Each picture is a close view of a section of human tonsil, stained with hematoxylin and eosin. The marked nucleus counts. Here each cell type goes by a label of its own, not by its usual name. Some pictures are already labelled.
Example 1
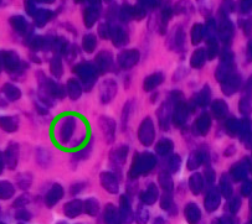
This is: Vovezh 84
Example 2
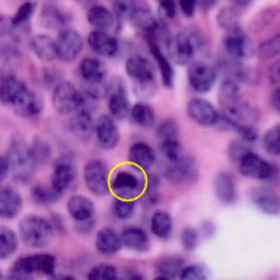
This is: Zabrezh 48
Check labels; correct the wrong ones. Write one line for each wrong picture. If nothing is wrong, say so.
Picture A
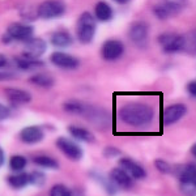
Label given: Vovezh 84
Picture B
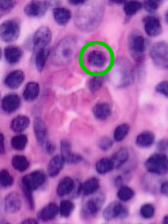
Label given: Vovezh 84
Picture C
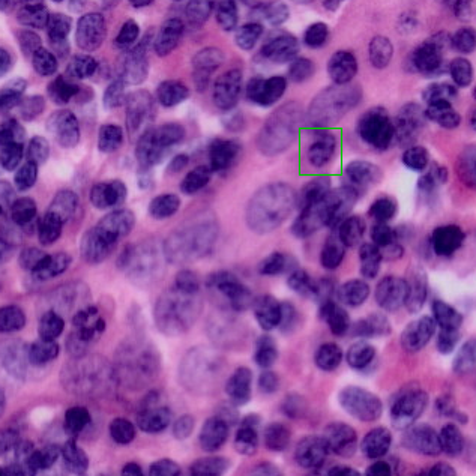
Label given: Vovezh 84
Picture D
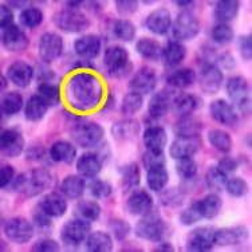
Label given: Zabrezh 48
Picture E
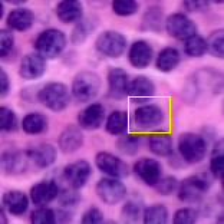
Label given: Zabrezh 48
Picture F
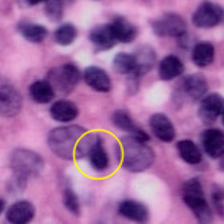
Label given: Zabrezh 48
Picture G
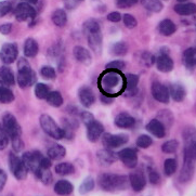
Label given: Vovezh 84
F: not Zabrezh 48 but Vovezh 84
G: not Vovezh 84 but Zabrezh 48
